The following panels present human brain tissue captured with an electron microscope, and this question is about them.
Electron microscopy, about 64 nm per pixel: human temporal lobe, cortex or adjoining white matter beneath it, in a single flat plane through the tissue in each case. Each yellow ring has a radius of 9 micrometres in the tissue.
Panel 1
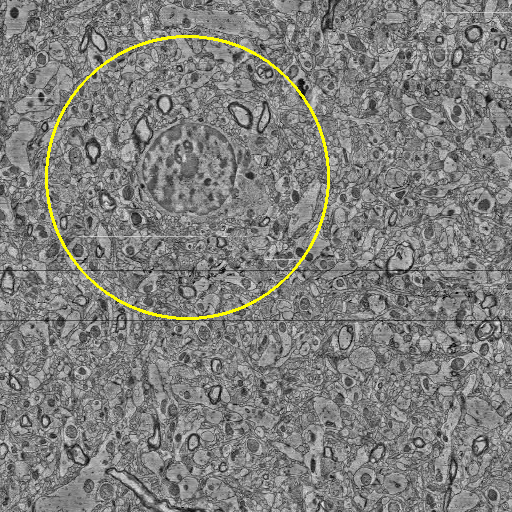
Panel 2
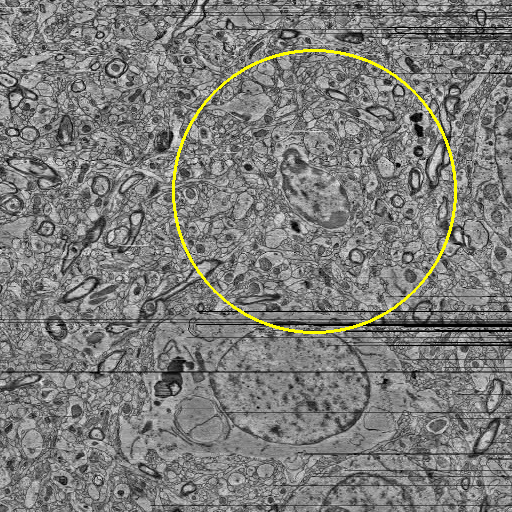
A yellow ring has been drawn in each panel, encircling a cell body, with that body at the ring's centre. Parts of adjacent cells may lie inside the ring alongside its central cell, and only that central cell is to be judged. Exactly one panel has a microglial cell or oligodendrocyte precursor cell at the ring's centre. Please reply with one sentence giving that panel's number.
The ring whose central cell fits the description is the one in panel 2.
